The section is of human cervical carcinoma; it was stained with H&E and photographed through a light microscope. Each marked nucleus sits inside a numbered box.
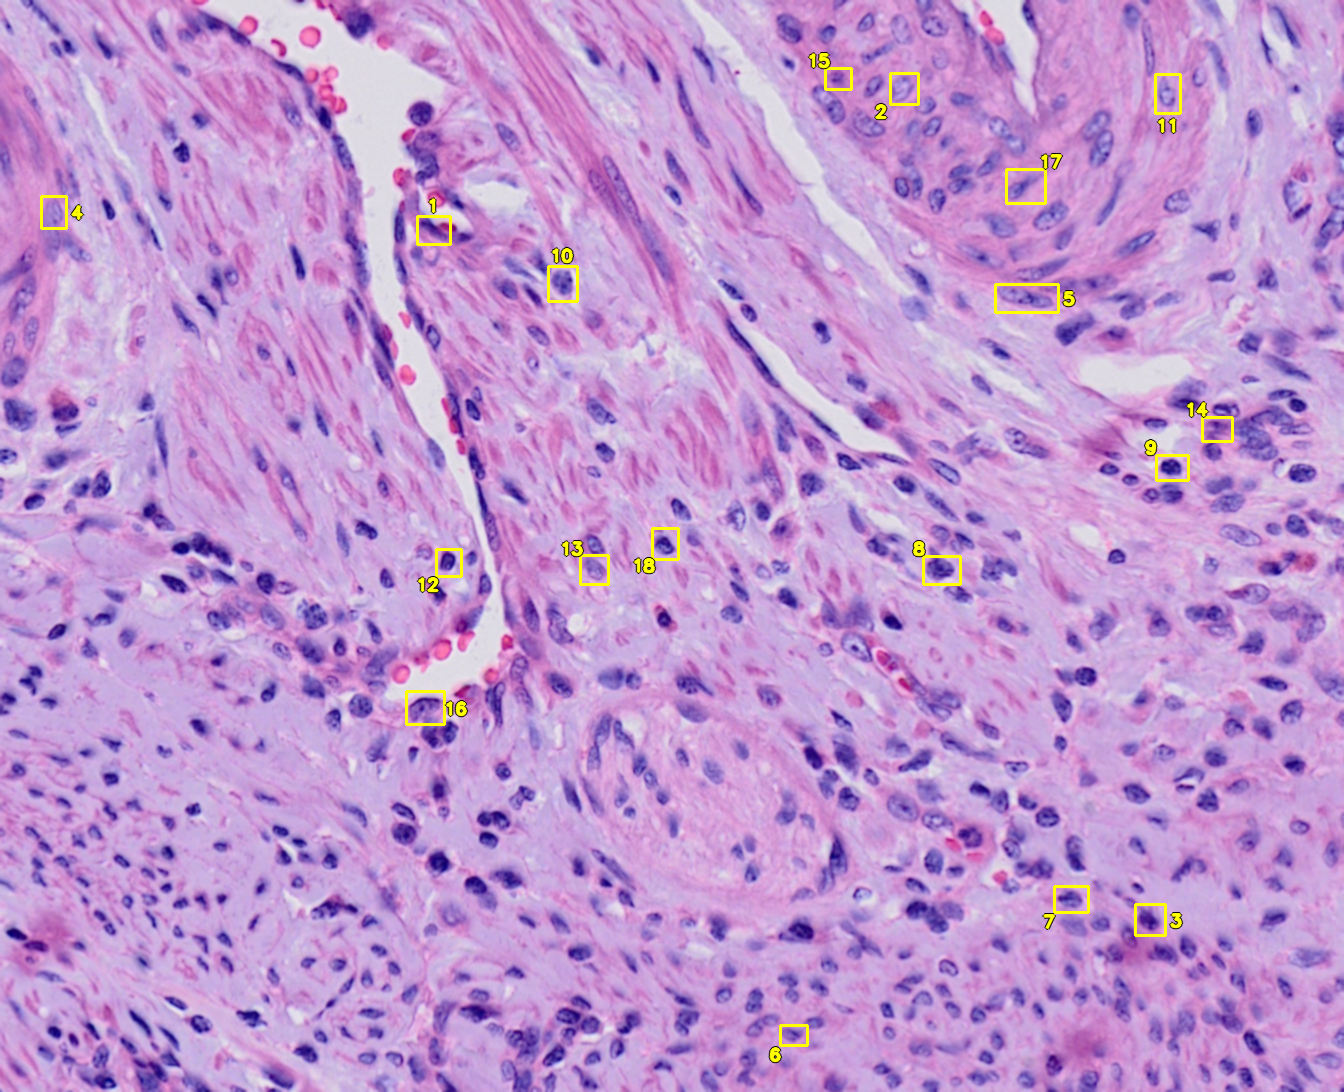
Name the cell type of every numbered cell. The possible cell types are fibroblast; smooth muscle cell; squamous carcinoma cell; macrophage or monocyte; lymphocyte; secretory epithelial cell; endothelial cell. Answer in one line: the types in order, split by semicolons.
endothelial cell; smooth muscle cell; lymphocyte; smooth muscle cell; smooth muscle cell; smooth muscle cell; lymphocyte; lymphocyte; lymphocyte; lymphocyte; smooth muscle cell; lymphocyte; smooth muscle cell; endothelial cell; smooth muscle cell; endothelial cell; smooth muscle cell; lymphocyte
